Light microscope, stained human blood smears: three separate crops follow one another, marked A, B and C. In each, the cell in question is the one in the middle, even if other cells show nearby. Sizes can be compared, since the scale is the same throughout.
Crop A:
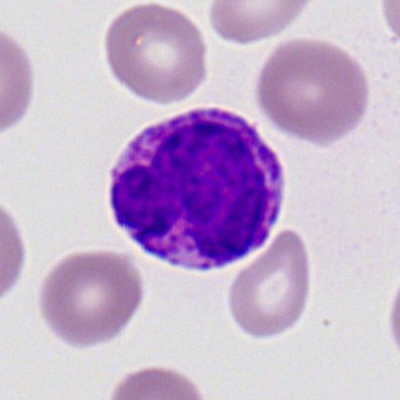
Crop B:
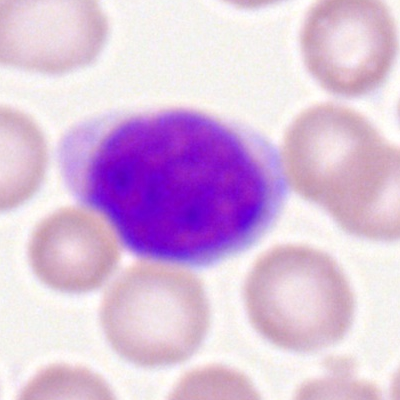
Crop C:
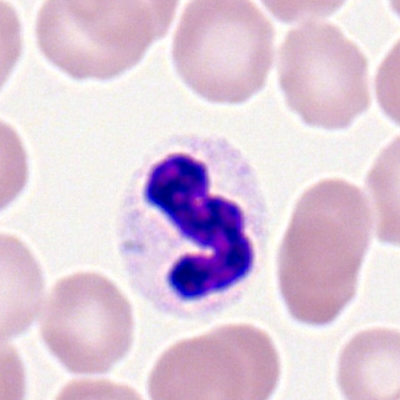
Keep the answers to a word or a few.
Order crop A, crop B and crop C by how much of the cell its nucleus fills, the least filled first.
C, B, A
